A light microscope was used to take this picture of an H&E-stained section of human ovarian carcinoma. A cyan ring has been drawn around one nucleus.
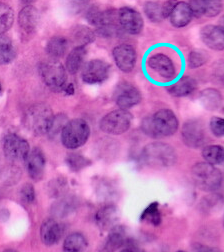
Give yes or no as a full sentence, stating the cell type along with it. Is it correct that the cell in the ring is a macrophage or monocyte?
Yes, the cell in the ring is accurately described as a macrophage or monocyte.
